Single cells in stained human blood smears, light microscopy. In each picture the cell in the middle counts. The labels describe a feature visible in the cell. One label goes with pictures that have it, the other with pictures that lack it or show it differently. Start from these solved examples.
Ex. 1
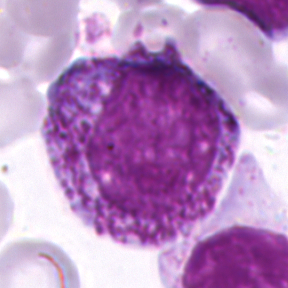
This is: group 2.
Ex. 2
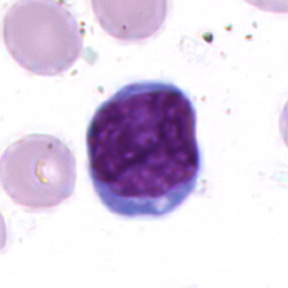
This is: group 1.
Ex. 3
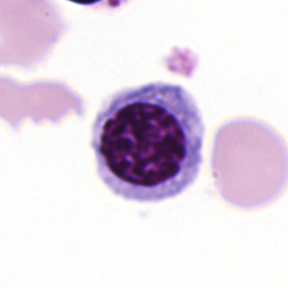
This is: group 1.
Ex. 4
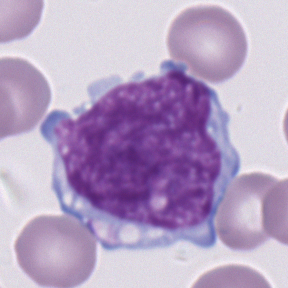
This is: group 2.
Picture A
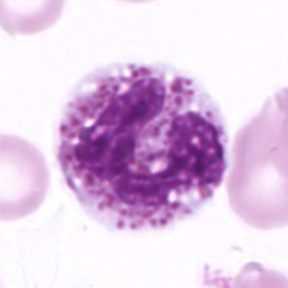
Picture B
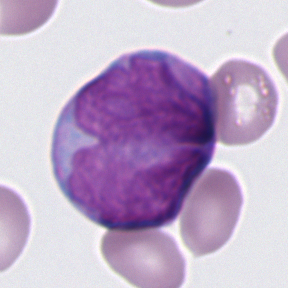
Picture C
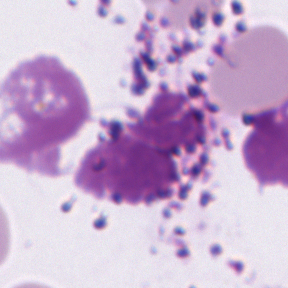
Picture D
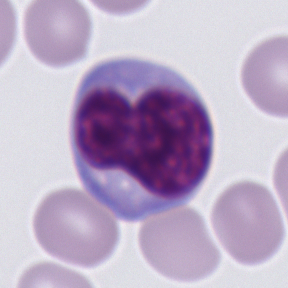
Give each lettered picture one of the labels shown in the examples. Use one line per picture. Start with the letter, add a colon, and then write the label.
A: group 1.
B: group 1.
C: group 2.
D: group 1.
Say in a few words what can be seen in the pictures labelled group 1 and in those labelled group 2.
group 1: smooth outline; group 2: ragged outline or projections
